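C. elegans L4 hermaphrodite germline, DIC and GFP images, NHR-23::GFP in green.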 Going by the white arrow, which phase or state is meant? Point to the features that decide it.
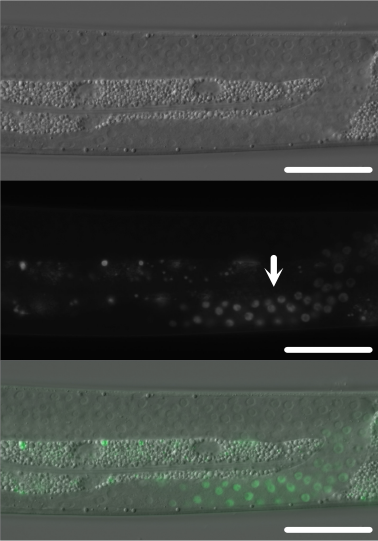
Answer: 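The arrow points into a row of small round nuclei in the gonad. Many similar small nuclei lie packed in rows along the gonad.
Conclusion: late pachytene cells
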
